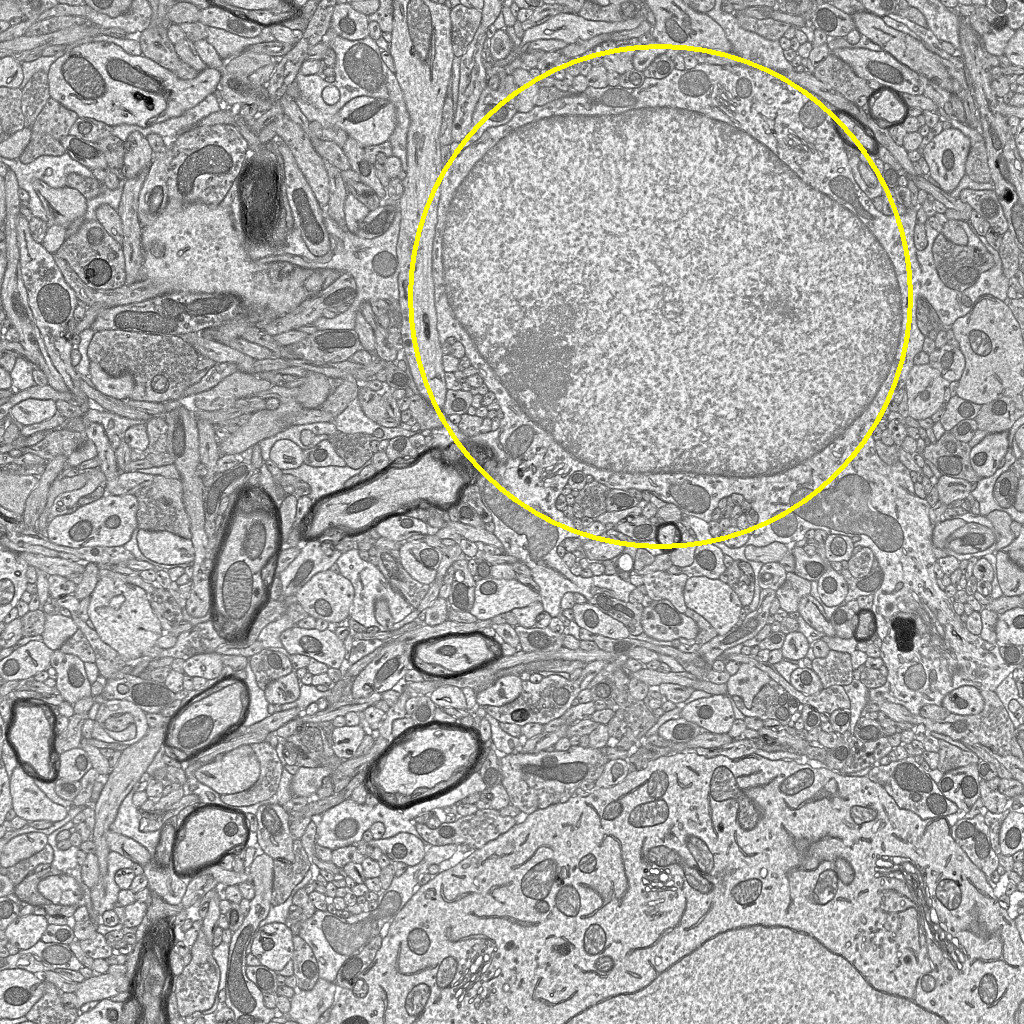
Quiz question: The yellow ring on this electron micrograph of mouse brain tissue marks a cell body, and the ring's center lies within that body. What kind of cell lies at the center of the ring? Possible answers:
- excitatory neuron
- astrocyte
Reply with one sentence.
The ring's center lies on an astrocyte.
